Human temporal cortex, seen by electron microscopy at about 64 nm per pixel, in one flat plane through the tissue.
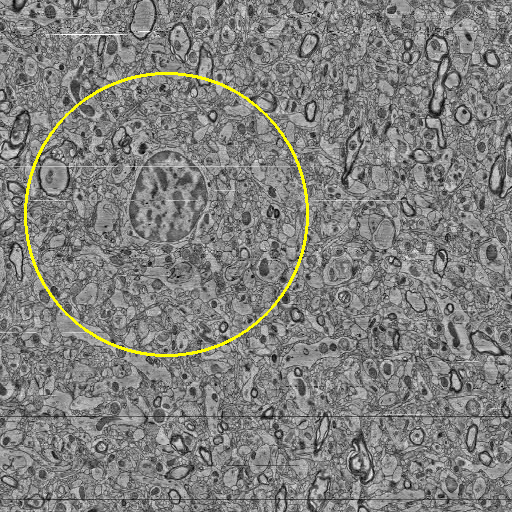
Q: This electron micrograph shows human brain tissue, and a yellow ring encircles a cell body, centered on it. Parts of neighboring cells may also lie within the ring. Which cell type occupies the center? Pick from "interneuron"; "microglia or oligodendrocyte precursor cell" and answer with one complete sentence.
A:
What sits at the ring's center in this micrograph is a microglial cell or oligodendrocyte precursor cell, among those choices.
